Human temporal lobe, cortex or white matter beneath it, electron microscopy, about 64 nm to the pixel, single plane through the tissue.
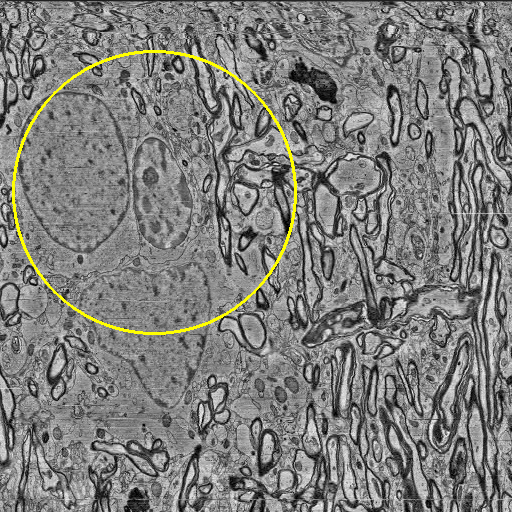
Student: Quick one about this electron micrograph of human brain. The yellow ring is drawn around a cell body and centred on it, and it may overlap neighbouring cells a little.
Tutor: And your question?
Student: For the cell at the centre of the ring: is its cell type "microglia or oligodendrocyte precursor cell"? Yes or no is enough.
yes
